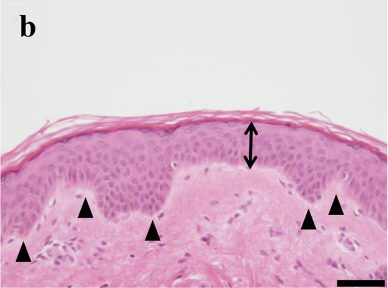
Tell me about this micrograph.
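A section of skin showing a thick stratified epidermis of closely packed keratinocytes with purple nuclei, topped by a wavy pink cornified layer. The lower border of the epidermis is irregular, with downward projections into the pale pink dermis, which contains scattered elongated nuclei and small vessels.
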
